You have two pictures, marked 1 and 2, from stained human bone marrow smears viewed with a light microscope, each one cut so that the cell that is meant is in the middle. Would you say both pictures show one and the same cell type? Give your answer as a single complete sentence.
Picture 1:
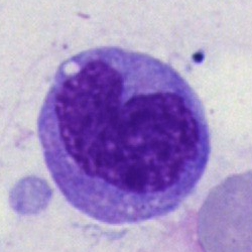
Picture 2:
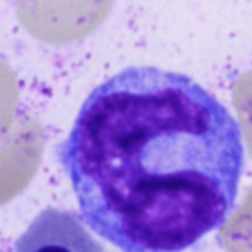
Yes, the two pictures both show monocytes.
